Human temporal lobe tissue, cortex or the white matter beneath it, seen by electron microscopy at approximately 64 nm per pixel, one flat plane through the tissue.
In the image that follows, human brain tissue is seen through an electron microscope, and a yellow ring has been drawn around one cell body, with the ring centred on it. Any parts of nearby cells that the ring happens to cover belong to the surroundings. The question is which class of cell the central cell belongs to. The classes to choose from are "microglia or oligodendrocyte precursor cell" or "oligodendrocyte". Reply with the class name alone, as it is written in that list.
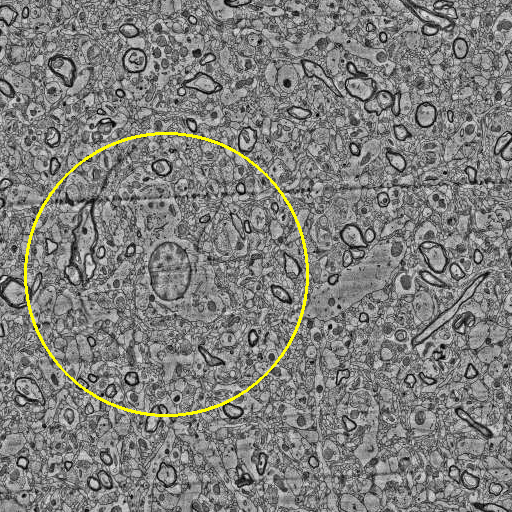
microglia or oligodendrocyte precursor cell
